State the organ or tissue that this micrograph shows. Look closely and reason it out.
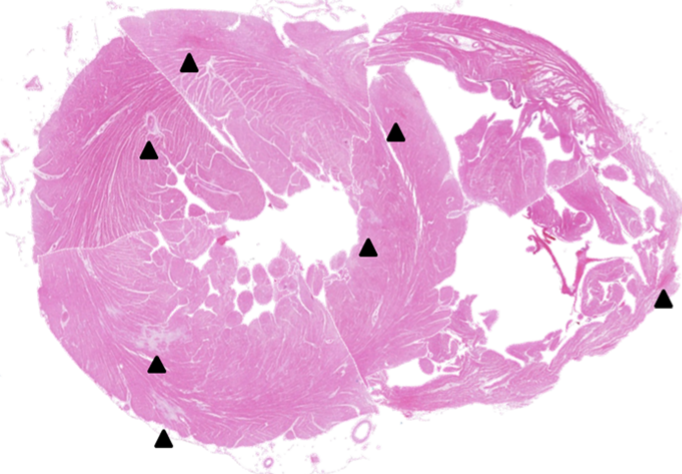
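A full transverse section with a thick muscular wall around a central chamber and a thinner-walled chamber beside it. Many rounded muscular bundles project into the chamber lumina. The wall is made of pink, streaming muscle fibres.
Hence: heart.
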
